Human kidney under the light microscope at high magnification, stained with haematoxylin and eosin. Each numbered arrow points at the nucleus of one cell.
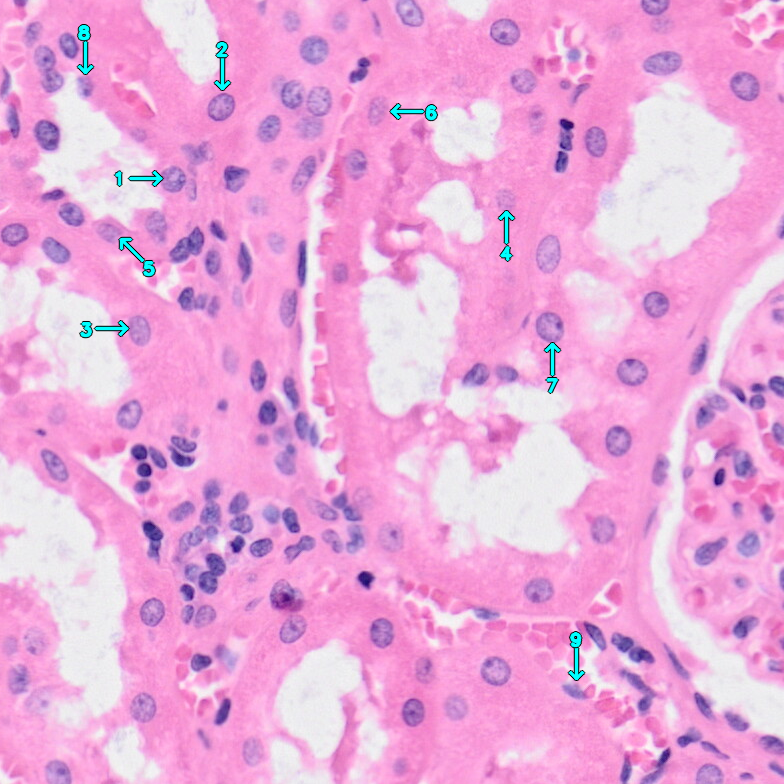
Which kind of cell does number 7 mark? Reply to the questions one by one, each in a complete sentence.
In the marked set, the cell given number 7 is a proximal tubule cell.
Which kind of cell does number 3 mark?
Number 3 is placed on a proximal tubule cell here.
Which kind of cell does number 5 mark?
The cell marked with the number 5 is a loop of Henle or distal tubule cell.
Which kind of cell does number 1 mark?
To a loop of Henle or distal tubule cell belongs the nucleus marked 1.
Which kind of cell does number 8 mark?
The cell referenced by the number 8 is a loop of Henle or distal tubule cell in this field.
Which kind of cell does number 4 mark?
Identified by the number 4, the cell is a proximal tubule cell.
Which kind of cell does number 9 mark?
The nucleus marked 9 is the nucleus of an endothelial cell.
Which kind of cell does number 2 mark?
The cell pointed out as number 2 is a proximal tubule cell.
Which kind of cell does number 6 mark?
The label 6 in this section denotes a proximal tubule cell.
